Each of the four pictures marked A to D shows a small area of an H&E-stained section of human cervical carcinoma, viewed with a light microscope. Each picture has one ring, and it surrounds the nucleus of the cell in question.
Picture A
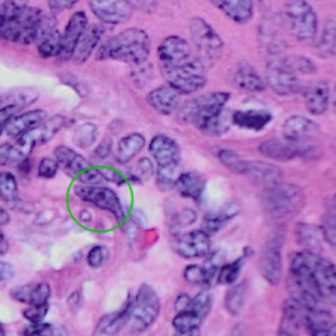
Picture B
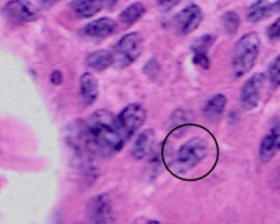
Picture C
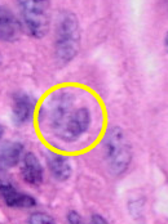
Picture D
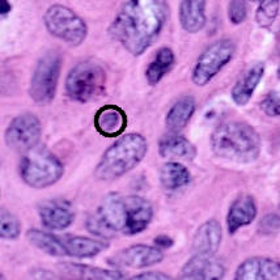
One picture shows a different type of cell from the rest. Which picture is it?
A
